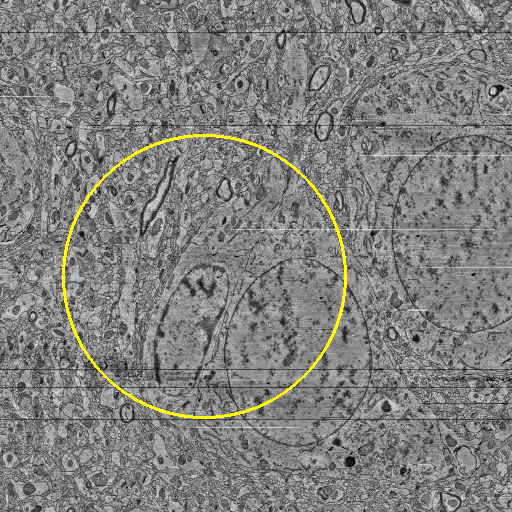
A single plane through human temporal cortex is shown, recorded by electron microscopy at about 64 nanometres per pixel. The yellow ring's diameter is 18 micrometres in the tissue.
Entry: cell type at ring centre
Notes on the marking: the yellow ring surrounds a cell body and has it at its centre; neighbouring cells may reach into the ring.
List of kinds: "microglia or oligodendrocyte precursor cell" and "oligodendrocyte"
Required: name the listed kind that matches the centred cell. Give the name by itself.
microglia or oligodendrocyte precursor cell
